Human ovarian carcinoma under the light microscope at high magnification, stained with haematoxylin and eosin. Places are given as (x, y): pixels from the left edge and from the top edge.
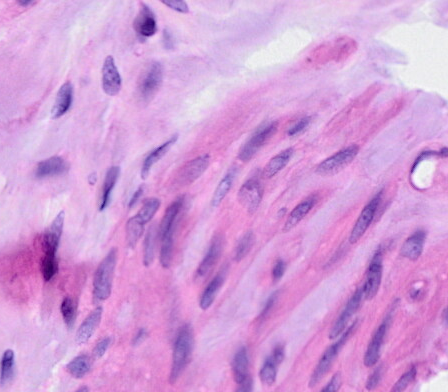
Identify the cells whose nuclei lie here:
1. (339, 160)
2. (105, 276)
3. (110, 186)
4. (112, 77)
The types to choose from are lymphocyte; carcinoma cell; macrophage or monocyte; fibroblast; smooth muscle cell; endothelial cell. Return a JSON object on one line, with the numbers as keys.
{"1": "smooth muscle cell", "2": "smooth muscle cell", "3": "fibroblast", "4": "fibroblast"}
